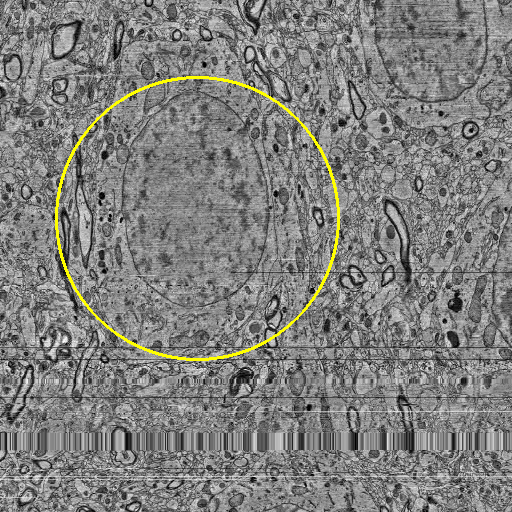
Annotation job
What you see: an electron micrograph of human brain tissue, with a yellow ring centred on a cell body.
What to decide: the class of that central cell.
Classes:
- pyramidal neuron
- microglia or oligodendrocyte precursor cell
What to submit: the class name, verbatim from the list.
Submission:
pyramidal neuron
